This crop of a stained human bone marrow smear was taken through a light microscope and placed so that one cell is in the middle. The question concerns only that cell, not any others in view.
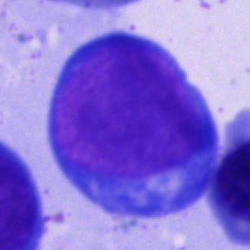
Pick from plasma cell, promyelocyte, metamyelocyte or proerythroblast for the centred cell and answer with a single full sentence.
Classified as a proerythroblast is the cell in the middle of this crop.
